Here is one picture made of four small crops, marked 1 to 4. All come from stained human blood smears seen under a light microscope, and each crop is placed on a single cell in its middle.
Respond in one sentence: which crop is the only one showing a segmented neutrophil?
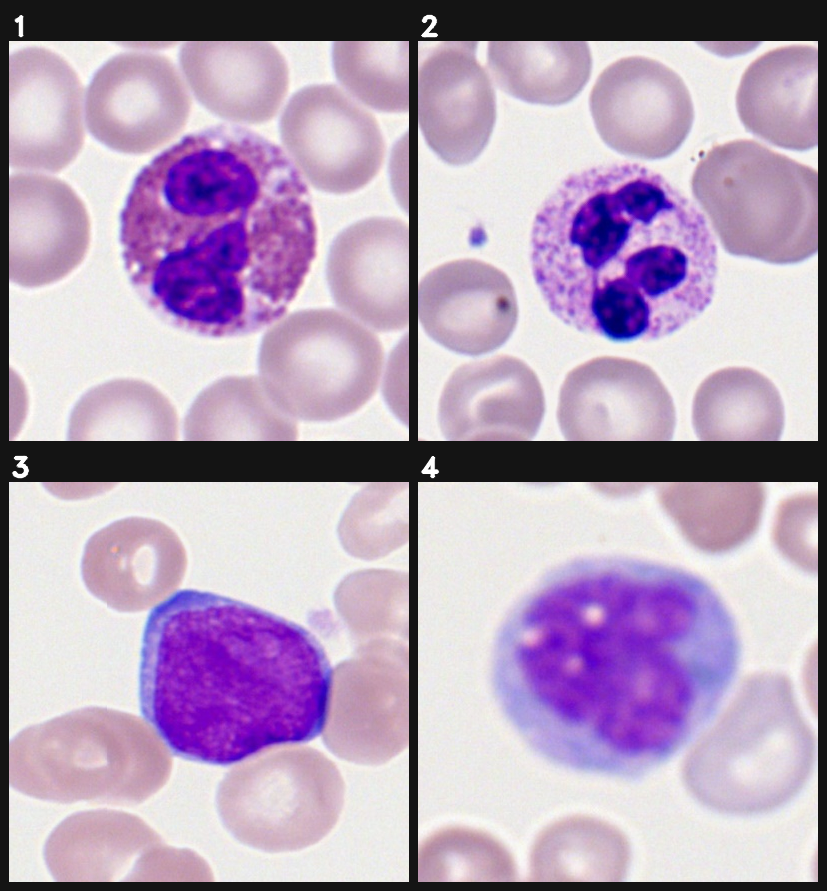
Of the crops given, a segmented neutrophil is found in crop 2.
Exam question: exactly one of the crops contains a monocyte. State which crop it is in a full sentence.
The sole crop showing a monocyte is crop 4.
